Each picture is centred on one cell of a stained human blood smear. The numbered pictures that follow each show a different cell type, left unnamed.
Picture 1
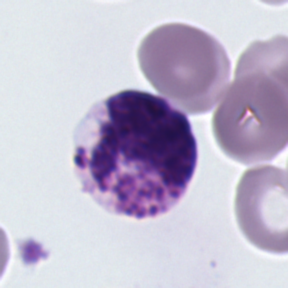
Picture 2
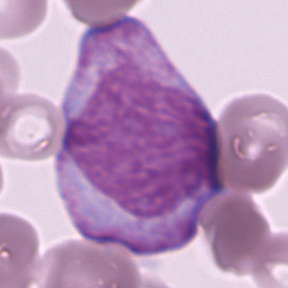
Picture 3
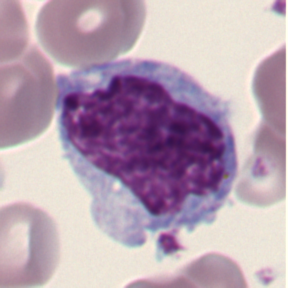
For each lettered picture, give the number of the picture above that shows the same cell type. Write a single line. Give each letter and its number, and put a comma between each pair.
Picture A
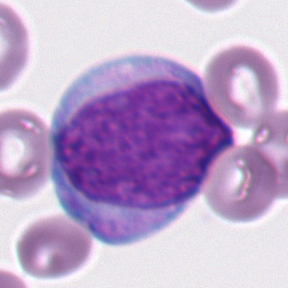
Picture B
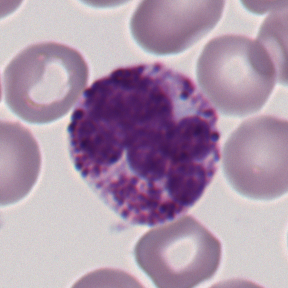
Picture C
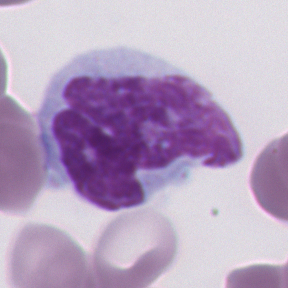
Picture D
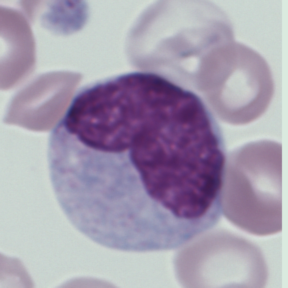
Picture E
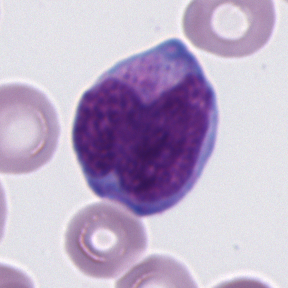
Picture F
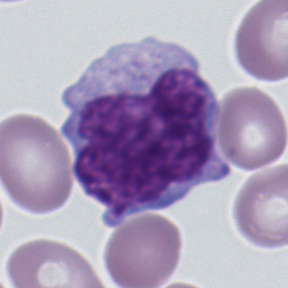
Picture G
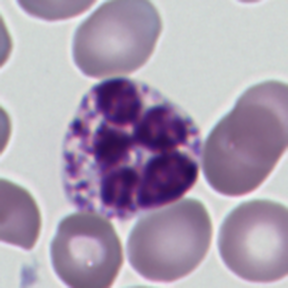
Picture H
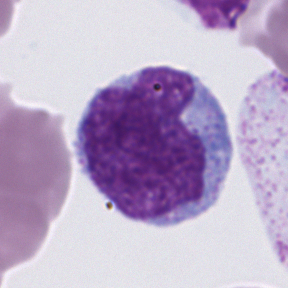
A 2, B 1, C 3, D 3, E 2, F 2, G 1, H 3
